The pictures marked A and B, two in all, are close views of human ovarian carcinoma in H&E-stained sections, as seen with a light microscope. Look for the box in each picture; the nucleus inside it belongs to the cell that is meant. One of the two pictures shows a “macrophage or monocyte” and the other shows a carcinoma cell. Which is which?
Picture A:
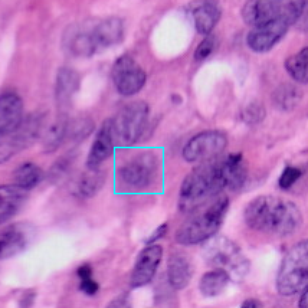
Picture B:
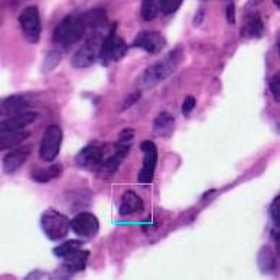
A: carcinoma cell
B: macrophage or monocyte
